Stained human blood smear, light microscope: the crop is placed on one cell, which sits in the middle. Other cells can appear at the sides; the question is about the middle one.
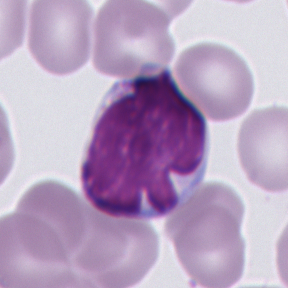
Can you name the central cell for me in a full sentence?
The cell centered in this field of view is a large granular lymphocyte.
